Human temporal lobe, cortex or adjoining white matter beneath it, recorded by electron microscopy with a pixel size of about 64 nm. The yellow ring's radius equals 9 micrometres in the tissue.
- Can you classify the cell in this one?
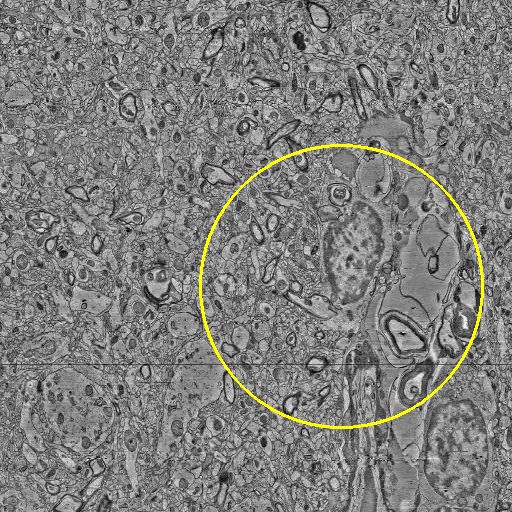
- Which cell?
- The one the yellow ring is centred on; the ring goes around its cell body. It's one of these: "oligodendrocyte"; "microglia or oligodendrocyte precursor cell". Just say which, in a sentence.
The cell body in the ring belongs to an oligodendrocyte.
